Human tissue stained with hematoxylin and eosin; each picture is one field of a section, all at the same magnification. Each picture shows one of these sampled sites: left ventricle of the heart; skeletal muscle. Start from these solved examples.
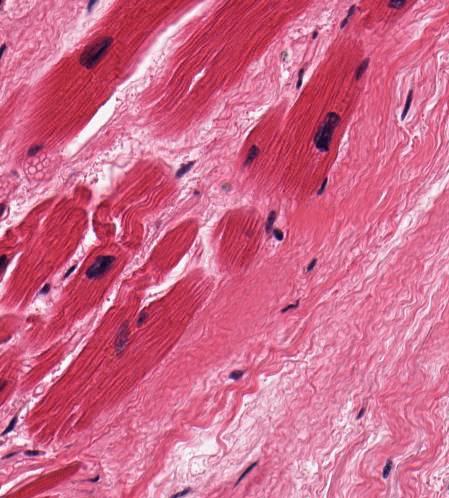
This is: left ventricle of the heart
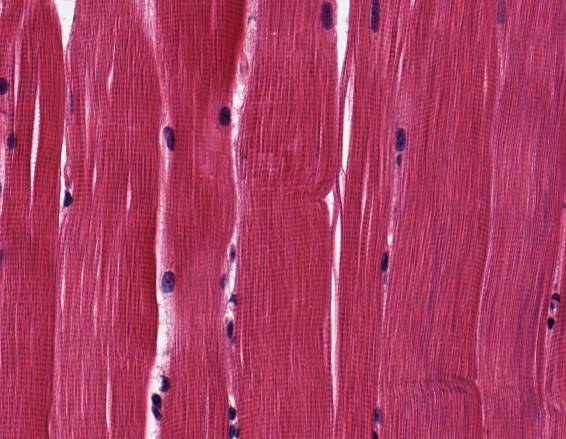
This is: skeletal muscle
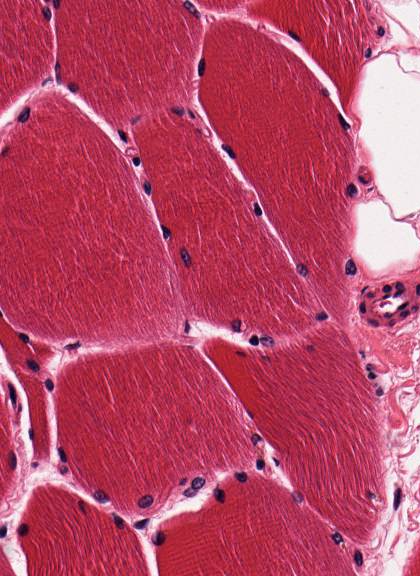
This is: skeletal muscle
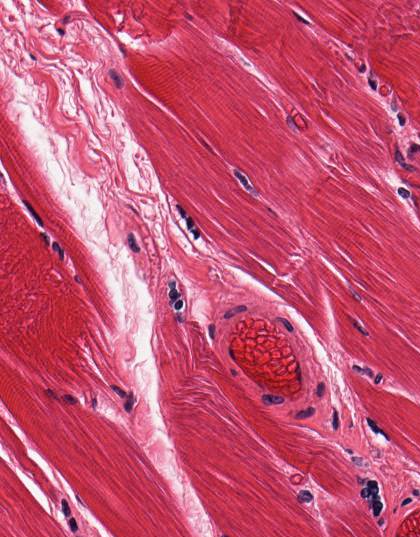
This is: skeletal muscle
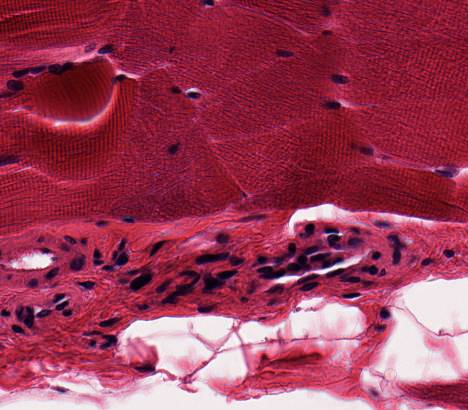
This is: skeletal muscle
